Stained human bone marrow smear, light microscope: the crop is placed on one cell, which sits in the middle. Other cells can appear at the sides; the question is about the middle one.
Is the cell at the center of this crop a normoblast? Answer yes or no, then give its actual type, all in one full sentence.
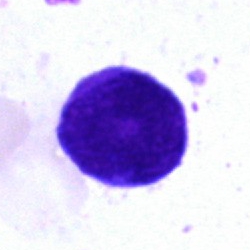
No, the central cell here is a blast; calling it a normoblast is not right.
